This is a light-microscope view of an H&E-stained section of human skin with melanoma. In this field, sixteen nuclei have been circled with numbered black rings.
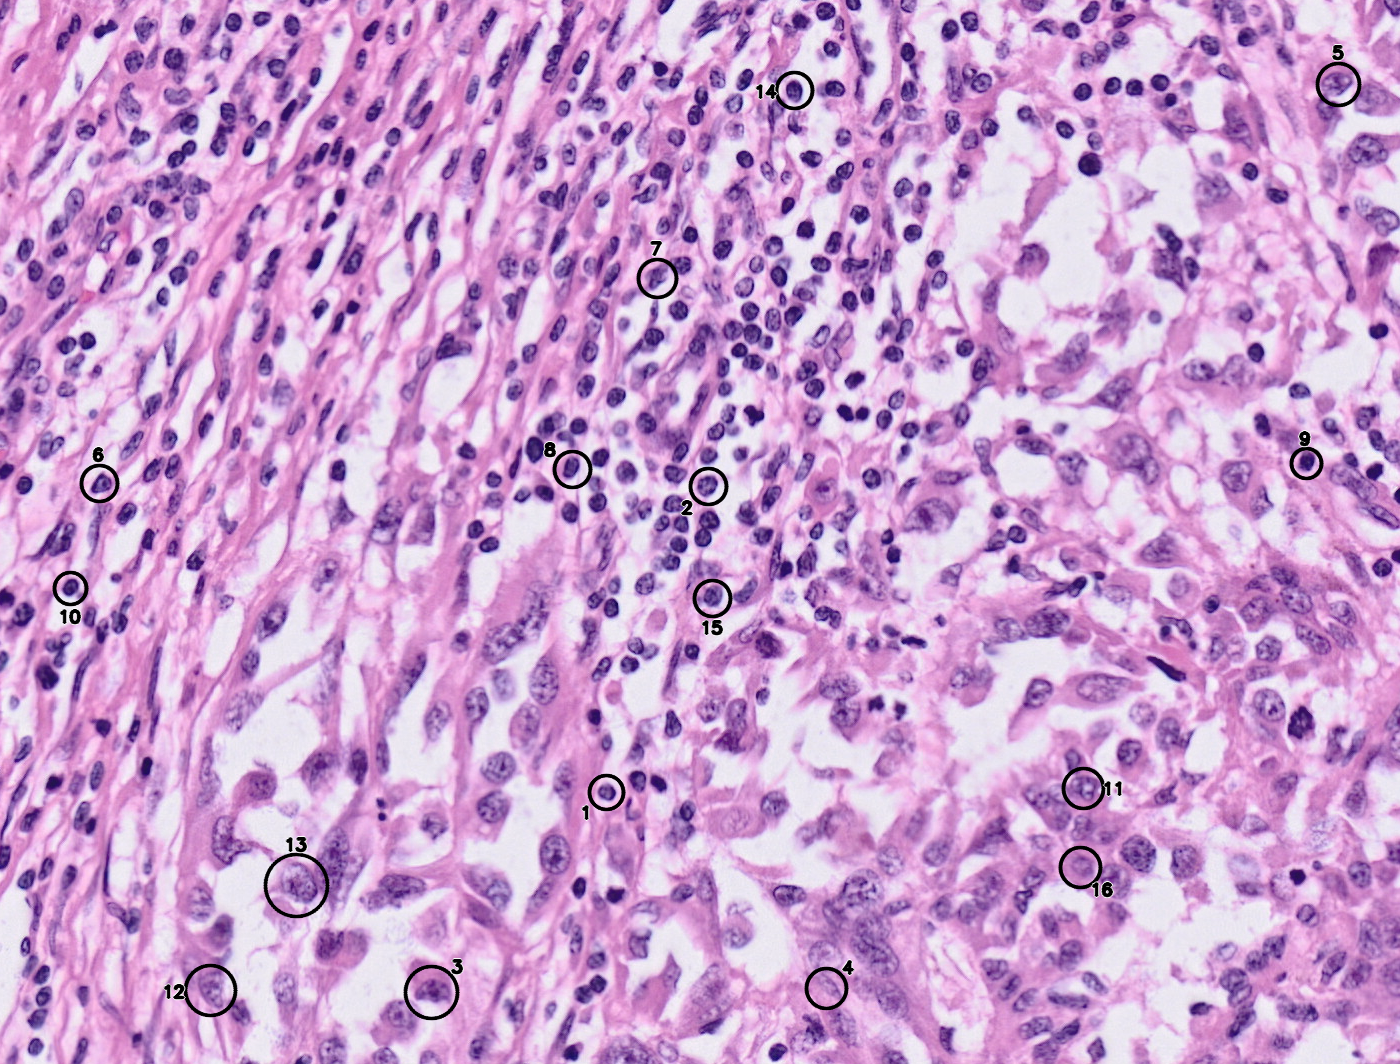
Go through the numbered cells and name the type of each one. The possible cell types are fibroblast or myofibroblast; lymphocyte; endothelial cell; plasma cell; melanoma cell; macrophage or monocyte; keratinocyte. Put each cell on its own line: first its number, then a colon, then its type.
1: lymphocyte
2: lymphocyte
3: melanoma cell
4: melanoma cell
5: melanoma cell
6: lymphocyte
7: lymphocyte
8: lymphocyte
9: lymphocyte
10: lymphocyte
11: melanoma cell
12: melanoma cell
13: melanoma cell
14: lymphocyte
15: lymphocyte
16: melanoma cell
